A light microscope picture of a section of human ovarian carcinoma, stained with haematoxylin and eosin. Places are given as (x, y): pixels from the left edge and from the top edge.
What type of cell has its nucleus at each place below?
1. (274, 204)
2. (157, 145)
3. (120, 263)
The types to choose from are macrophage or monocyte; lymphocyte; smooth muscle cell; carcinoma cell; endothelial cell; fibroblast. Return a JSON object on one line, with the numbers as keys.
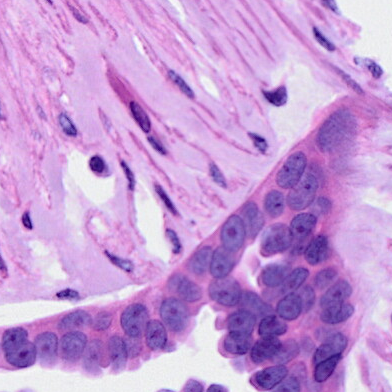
{"1": "carcinoma cell", "2": "fibroblast", "3": "fibroblast"}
